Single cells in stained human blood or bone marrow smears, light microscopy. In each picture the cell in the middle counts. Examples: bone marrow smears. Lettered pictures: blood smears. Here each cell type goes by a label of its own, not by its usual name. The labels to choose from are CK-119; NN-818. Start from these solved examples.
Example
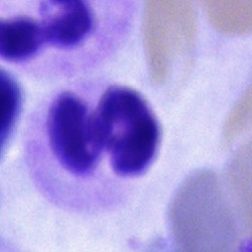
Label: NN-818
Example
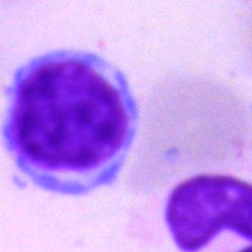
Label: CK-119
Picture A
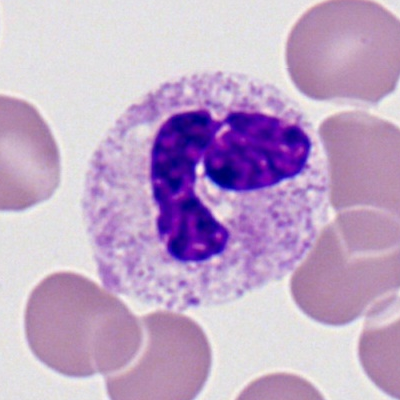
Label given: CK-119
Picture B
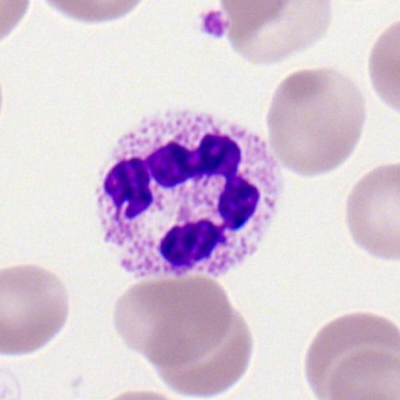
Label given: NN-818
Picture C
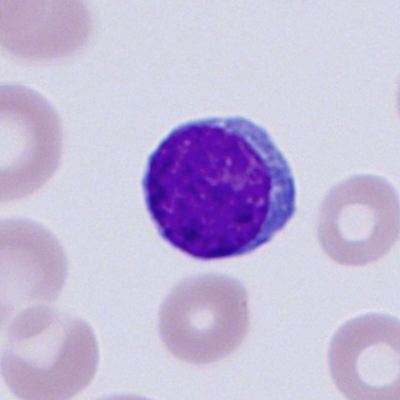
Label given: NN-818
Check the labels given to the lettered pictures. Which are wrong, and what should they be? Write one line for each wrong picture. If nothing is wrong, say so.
A: change CK-119 to NN-818
C: change NN-818 to CK-119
